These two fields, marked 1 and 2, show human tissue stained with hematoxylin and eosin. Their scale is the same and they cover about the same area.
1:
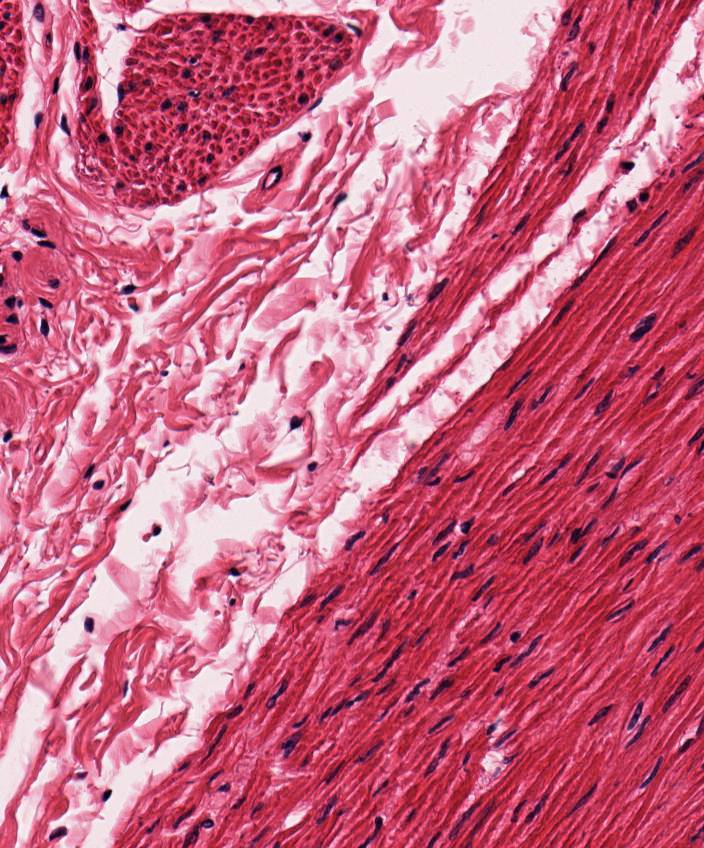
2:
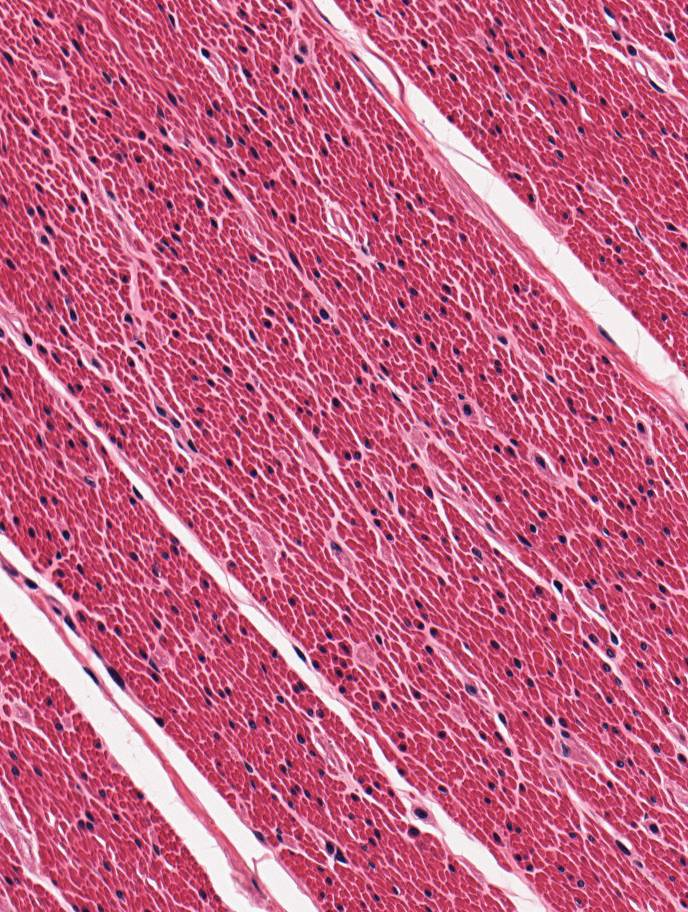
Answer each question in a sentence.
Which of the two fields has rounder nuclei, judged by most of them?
It is picture 2 whose nuclei are the rounder.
